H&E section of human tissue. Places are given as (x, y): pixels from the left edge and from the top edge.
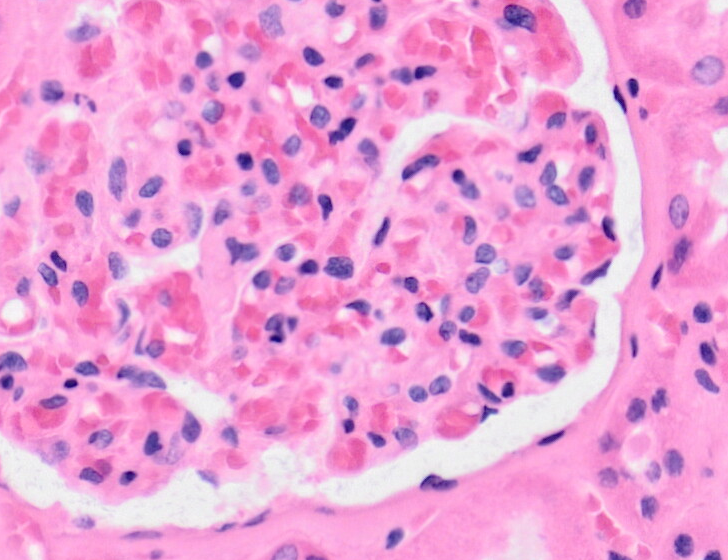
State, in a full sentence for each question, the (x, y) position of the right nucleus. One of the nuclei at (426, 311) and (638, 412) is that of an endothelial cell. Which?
Of the two options, the nucleus at (426, 311) is the one that belongs to an endothelial cell.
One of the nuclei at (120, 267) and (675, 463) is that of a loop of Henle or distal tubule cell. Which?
The nucleus at (675, 463) is identified as belonging to a loop of Henle or distal tubule cell.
